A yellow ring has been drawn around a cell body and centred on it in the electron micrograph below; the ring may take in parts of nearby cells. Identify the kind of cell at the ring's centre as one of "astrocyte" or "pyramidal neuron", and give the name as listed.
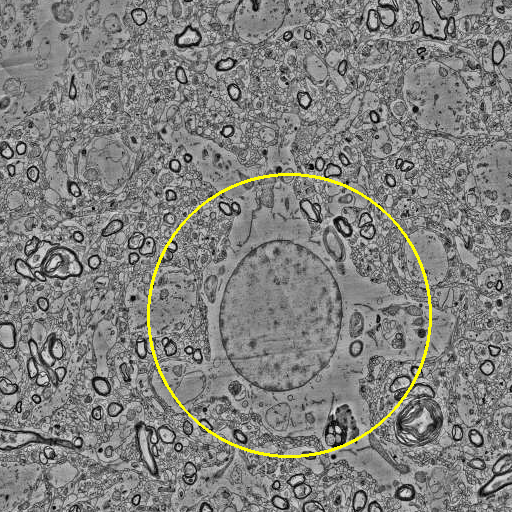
astrocyte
